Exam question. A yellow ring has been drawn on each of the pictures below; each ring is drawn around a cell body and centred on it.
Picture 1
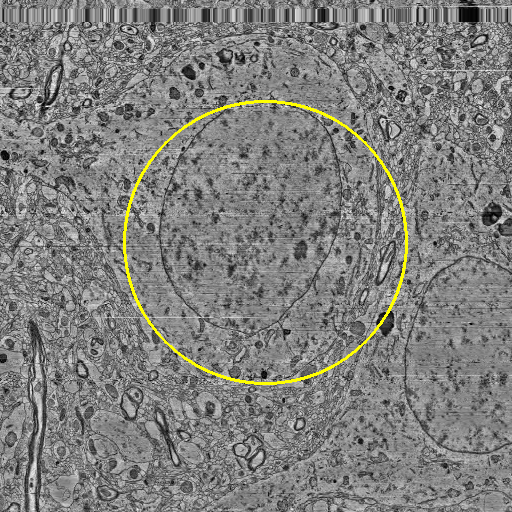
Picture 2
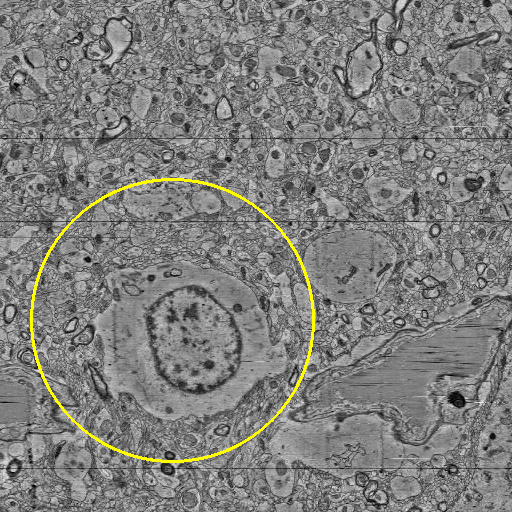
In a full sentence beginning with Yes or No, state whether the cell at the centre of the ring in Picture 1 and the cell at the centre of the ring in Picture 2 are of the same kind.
No, the cells are of two kinds.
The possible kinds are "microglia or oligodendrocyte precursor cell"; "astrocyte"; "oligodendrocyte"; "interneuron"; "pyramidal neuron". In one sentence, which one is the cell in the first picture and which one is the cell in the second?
The cell ringed in the second picture is an astrocyte, whereas the one ringed in the first is a pyramidal neuron.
